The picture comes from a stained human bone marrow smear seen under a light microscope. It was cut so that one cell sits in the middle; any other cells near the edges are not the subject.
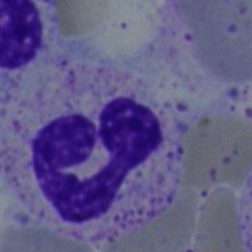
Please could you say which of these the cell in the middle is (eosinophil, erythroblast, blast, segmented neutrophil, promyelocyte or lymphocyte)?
segmented neutrophil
